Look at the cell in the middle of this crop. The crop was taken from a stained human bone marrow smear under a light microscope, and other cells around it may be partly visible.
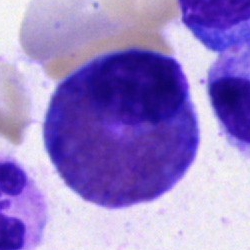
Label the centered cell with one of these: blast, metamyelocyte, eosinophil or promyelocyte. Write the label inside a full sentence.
Among the cells in view, the one in the middle is an eosinophil.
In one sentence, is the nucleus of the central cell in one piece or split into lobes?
The nucleus is one compact mass, round, oval or kidney-shaped in outline.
